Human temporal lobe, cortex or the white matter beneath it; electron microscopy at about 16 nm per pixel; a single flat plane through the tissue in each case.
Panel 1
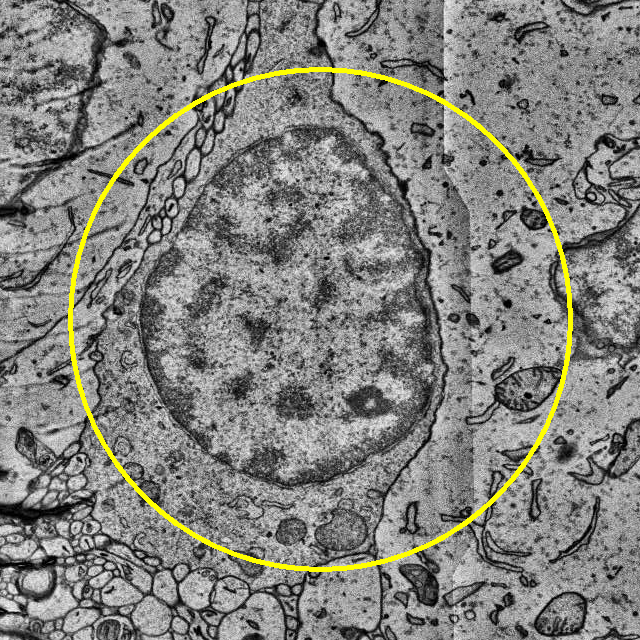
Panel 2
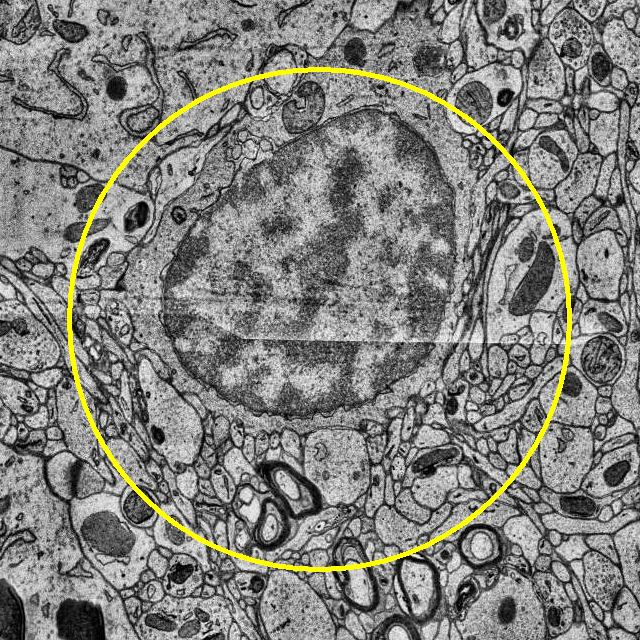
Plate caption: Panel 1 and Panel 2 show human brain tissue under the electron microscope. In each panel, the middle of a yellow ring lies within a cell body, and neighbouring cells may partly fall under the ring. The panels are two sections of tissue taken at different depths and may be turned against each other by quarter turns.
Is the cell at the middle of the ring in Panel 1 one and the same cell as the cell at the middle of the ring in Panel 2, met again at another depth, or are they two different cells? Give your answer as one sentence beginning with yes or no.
No, marked by the two rings are two different cells.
